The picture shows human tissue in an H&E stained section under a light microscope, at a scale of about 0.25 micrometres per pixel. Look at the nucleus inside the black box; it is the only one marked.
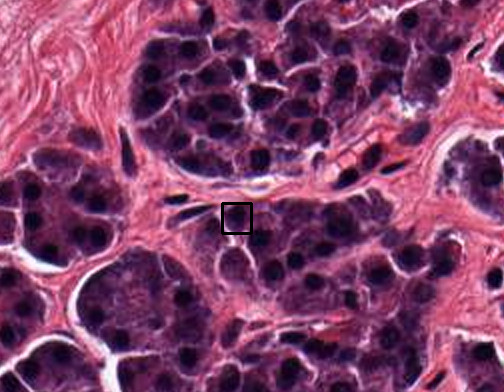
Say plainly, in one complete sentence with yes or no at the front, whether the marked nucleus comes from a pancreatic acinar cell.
Yes, the marked nucleus is located in a pancreatic acinar cell.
